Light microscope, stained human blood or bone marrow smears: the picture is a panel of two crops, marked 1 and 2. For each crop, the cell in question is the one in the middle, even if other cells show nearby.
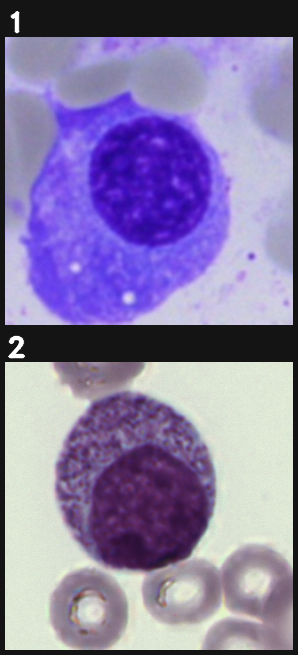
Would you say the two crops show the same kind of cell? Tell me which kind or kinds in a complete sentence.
No, crop 1 is where a plasma cell is, and crop 2 is where a myelocyte is.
